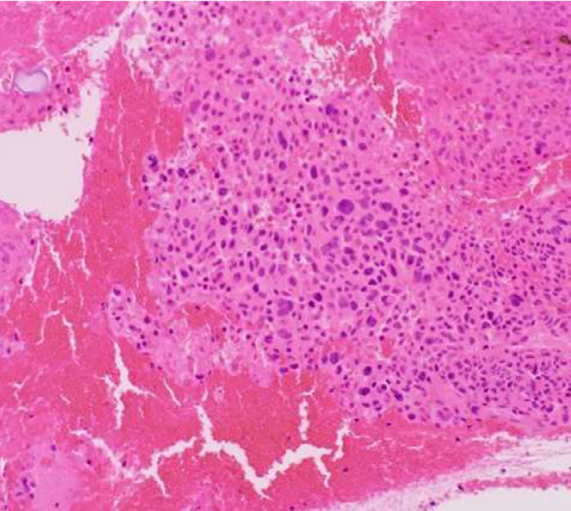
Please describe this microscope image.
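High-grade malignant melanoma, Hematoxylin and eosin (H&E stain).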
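Tumour tissue composed of solid sheets of neoplastic cells bordered by extensive hemorrhage. The cells are crowded, with pink cytoplasm and pleomorphic, variably sized, mostly oval to irregular dark nuclei; scattered large bizarre nuclei stand out. Broad lakes of packed red blood cells occupy the left and lower parts of the field, lying directly against the tumour without an intervening vessel wall. A clear space lies at the upper left. The tumour cells show no organized architecture such as glands or nests separated by stroma.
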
